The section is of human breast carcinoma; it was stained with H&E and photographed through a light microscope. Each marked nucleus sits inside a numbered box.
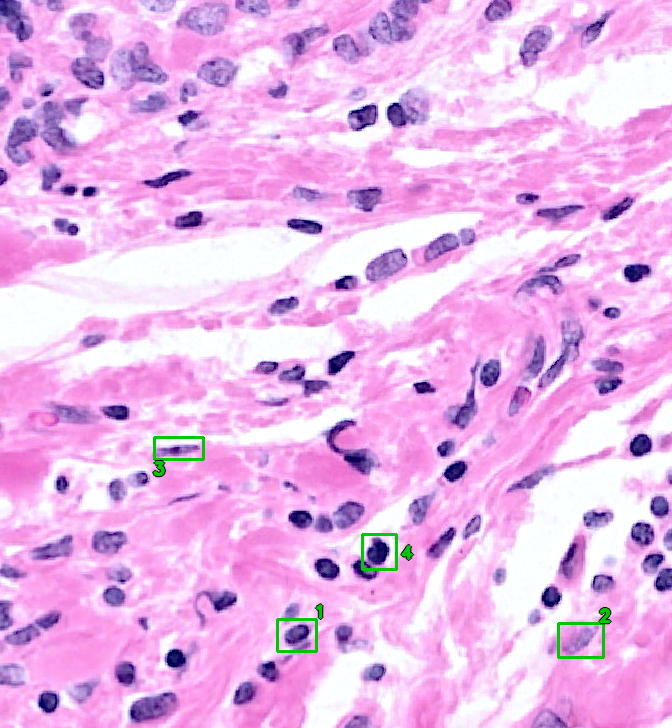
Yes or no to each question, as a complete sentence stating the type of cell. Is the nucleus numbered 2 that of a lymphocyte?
No, the cell tagged 2 is a fibroblast, and not a lymphocyte.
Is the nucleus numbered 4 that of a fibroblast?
No, the cell carrying number 4 is a lymphocyte rather than a fibroblast.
